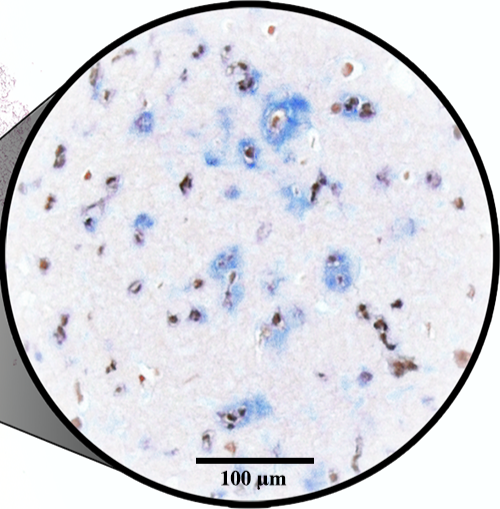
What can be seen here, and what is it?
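Here small cells with dark brown-purple nuclei are scattered through a pale, finely granular matrix. Only some of them are surrounded by patches of blue-stained matrix, and a few lie in small groups within these blue halos. Large stretches between the cells remain unstained.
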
